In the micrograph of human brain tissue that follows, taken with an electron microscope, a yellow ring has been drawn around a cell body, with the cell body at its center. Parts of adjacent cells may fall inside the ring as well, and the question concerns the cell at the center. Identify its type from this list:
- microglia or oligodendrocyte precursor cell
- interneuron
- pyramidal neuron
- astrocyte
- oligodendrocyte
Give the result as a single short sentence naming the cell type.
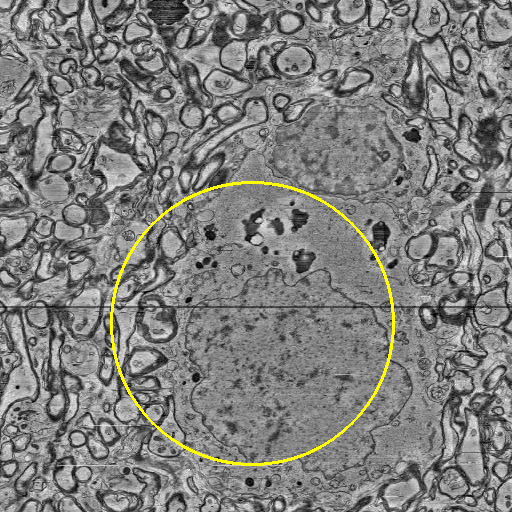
The ring is centered on a pyramidal neuron.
